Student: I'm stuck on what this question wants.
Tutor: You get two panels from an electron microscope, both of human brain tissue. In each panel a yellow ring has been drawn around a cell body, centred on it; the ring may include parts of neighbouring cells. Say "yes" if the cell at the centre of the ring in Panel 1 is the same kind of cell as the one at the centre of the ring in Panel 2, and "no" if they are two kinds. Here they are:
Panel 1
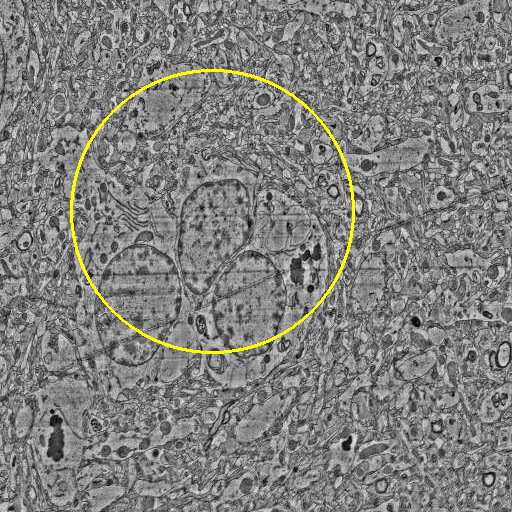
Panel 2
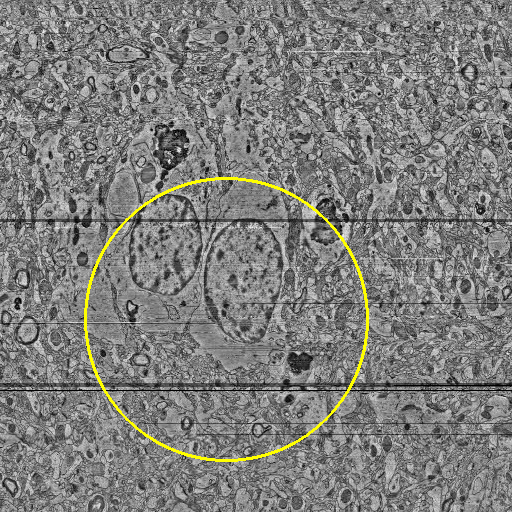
yes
